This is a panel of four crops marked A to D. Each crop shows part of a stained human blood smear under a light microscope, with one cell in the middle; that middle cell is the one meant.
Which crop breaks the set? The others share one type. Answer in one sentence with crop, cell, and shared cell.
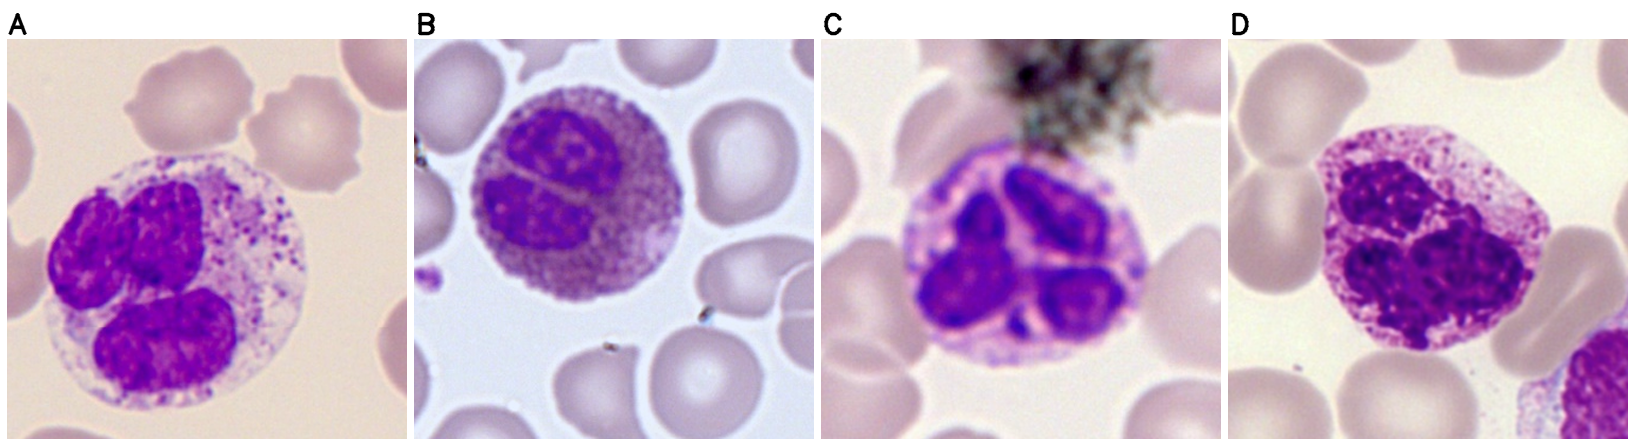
There is an eosinophil in crop B, while all the other crops show basophils.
